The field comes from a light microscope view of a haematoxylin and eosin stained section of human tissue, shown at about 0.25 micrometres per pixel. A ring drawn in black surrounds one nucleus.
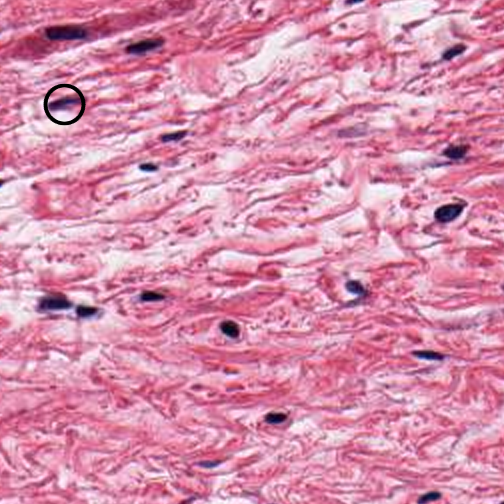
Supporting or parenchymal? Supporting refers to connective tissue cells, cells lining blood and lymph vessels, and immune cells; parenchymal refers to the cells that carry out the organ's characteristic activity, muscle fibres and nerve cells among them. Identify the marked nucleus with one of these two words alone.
supporting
